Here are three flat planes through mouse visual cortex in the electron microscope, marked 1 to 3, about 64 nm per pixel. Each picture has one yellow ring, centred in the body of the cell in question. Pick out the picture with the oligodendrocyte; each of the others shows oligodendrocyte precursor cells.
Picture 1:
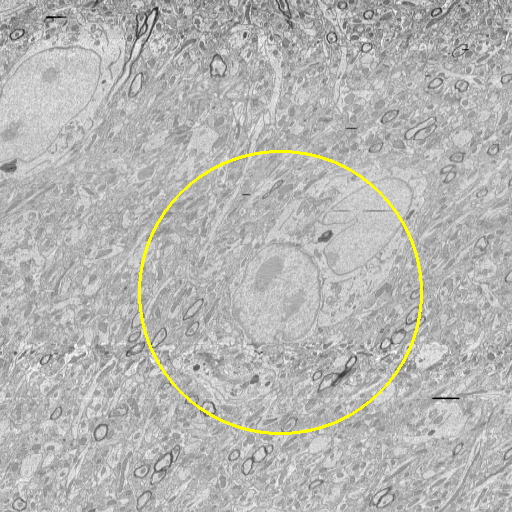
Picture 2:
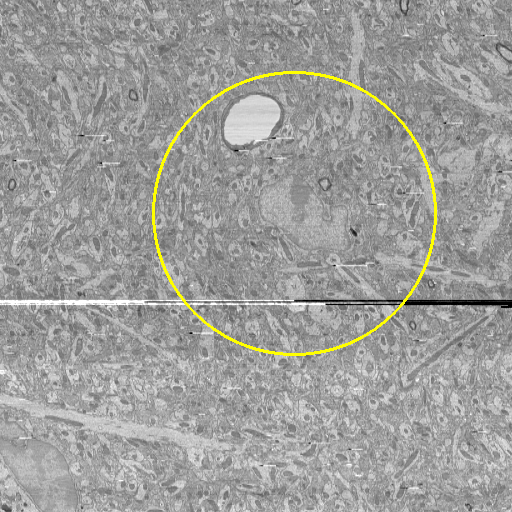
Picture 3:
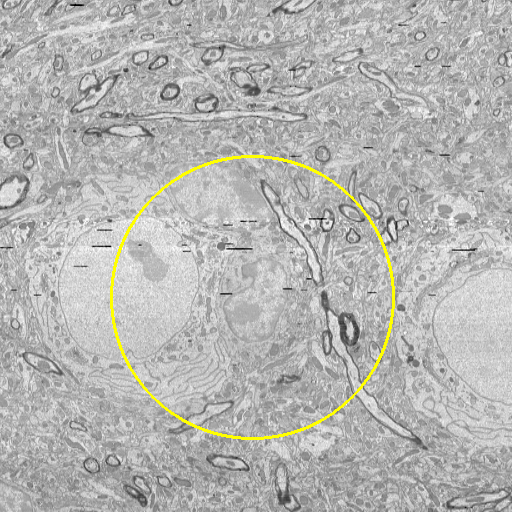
Picture 3 shows the oligodendrocyte.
